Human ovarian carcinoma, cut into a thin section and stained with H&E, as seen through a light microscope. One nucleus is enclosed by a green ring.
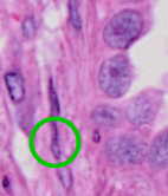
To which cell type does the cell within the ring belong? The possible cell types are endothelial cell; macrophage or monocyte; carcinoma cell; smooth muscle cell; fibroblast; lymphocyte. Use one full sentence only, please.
Speaking plainly, the cell within the ring is nothing other than a fibroblast.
